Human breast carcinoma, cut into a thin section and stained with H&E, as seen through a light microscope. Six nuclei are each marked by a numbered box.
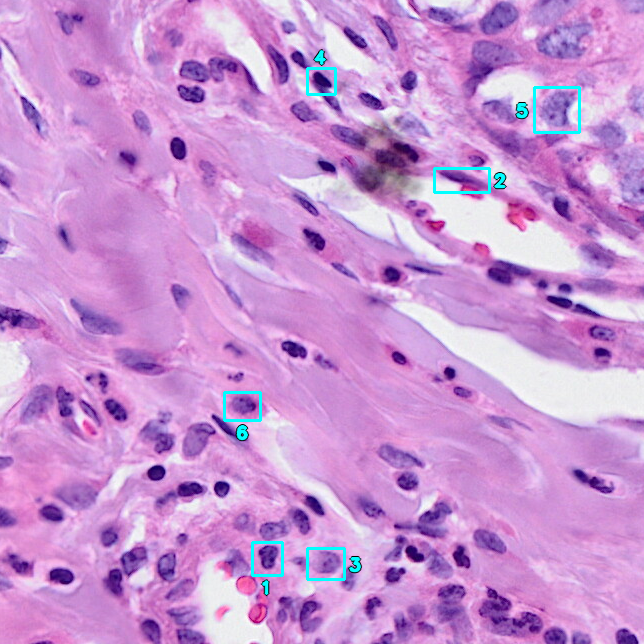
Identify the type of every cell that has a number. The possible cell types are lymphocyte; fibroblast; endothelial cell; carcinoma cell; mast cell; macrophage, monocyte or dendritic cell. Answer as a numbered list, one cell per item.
1. lymphocyte
2. endothelial cell
3. macrophage, monocyte or dendritic cell
4. lymphocyte
5. carcinoma cell
6. mast cell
